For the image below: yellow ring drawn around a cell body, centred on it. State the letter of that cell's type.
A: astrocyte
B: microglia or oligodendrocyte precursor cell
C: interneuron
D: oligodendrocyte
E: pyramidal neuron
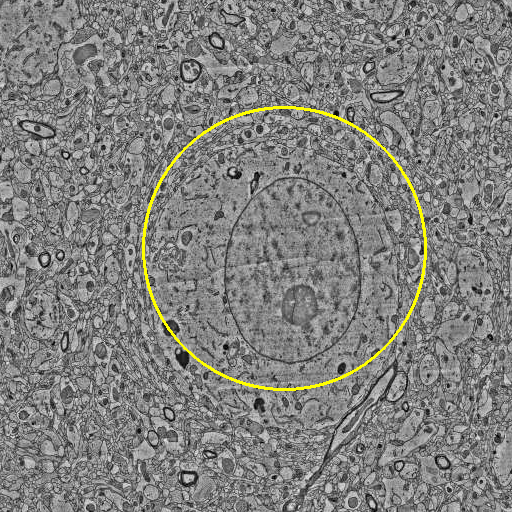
E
